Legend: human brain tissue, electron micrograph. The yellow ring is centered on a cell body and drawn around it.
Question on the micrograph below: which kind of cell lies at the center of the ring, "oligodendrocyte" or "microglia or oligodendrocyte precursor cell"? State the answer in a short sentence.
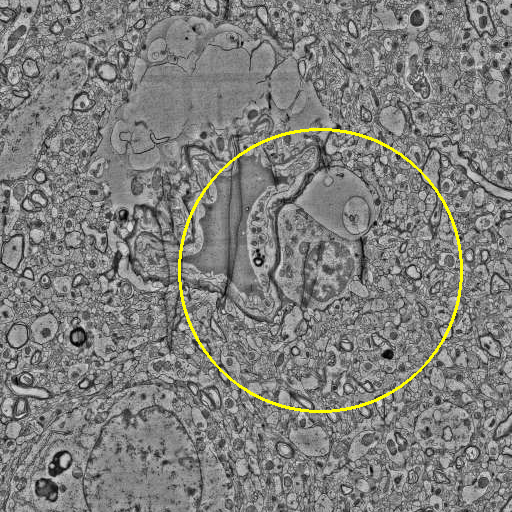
At the center of the ring lies an oligodendrocyte.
